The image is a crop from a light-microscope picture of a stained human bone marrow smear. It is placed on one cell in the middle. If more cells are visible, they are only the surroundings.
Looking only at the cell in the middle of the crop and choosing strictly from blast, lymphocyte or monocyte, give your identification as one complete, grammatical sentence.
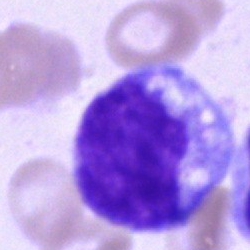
The central cell in this smear crop is a monocyte.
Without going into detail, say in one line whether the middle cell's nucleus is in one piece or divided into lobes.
A single compact nucleus is present, shaped round, oval or like a kidney.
